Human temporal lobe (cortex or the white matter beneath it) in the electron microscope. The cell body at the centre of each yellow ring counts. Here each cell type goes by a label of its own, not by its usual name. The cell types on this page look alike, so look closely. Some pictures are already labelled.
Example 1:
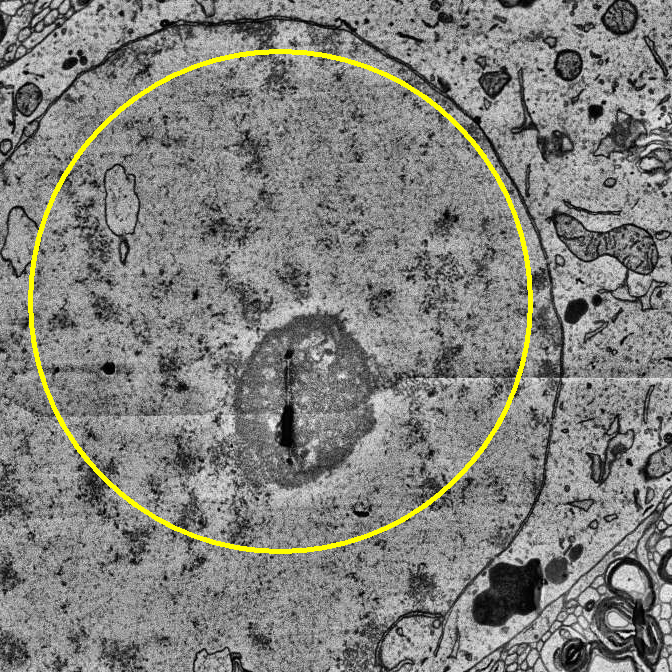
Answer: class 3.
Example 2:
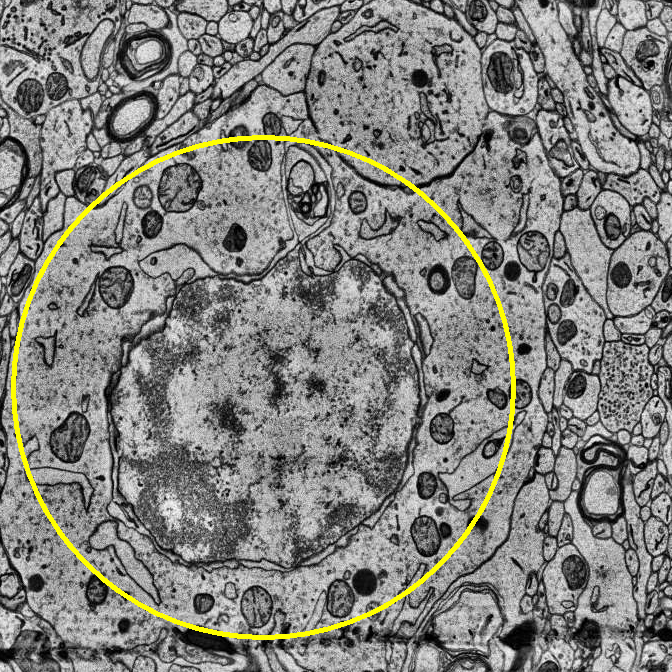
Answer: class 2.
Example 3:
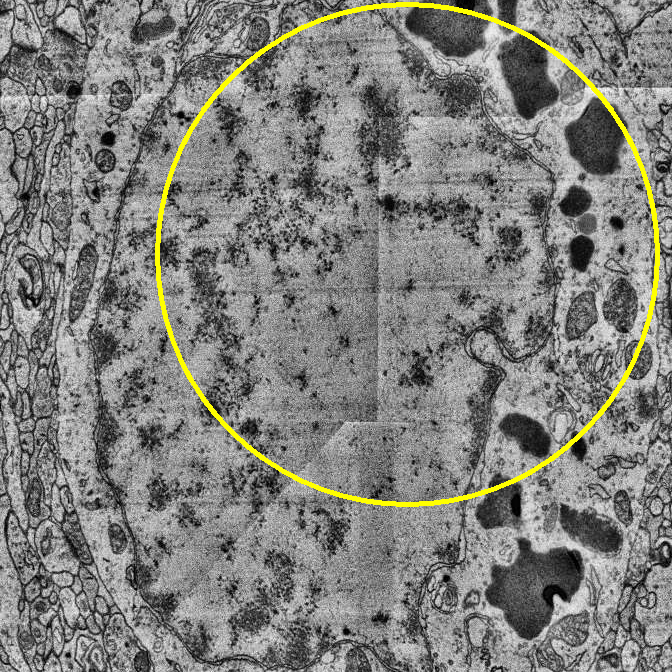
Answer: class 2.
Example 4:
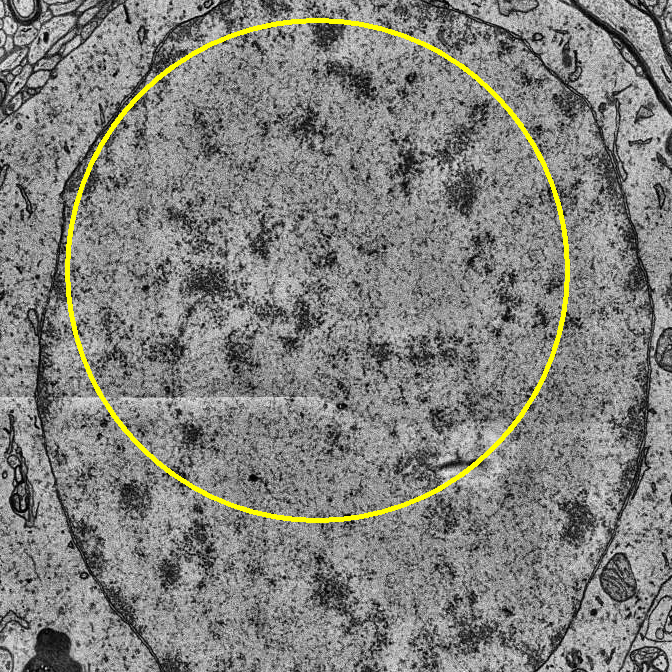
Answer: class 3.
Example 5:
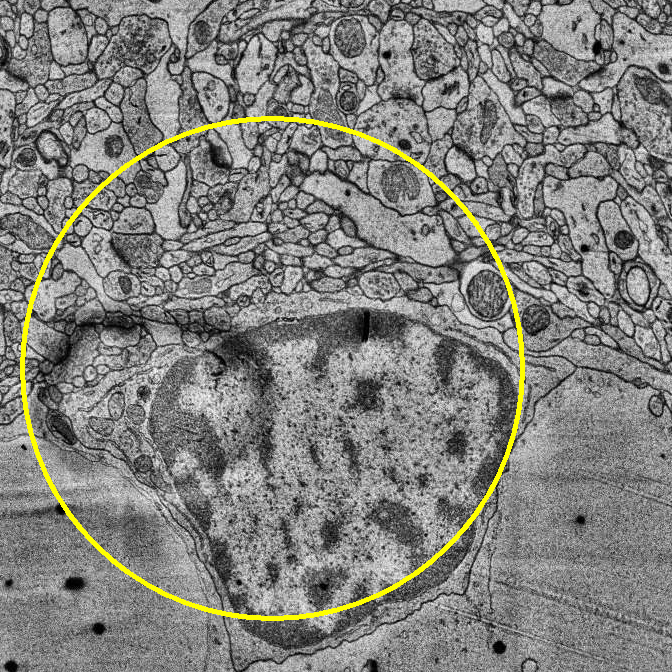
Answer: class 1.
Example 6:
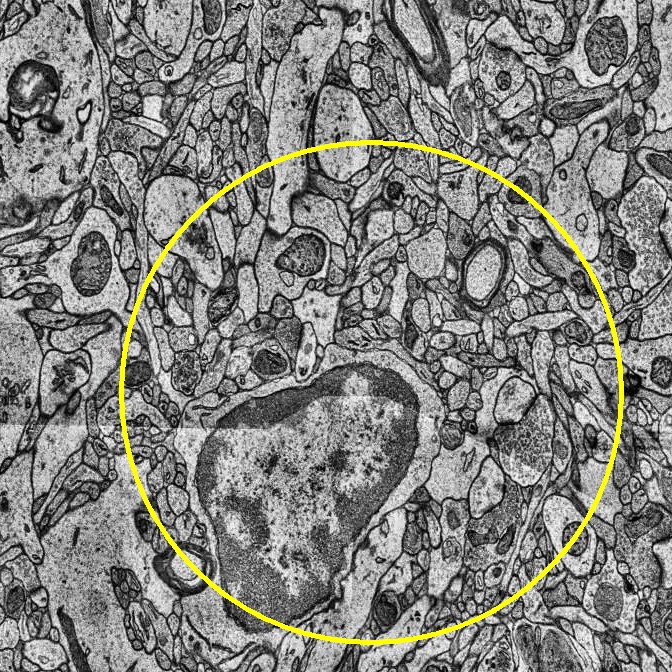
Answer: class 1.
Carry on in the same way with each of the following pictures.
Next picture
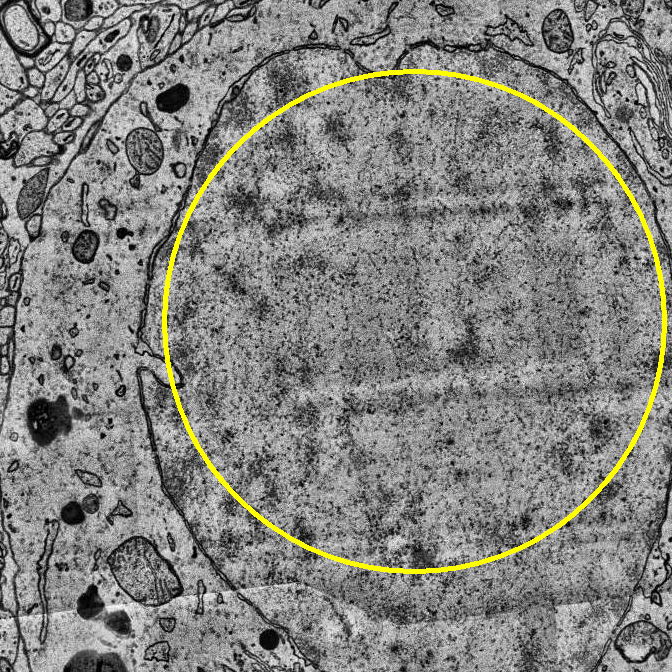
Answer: class 3.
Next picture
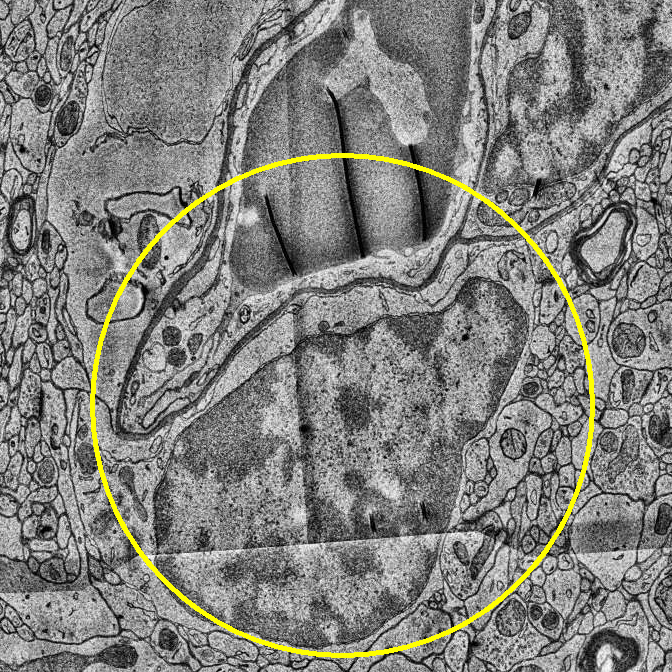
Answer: class 1.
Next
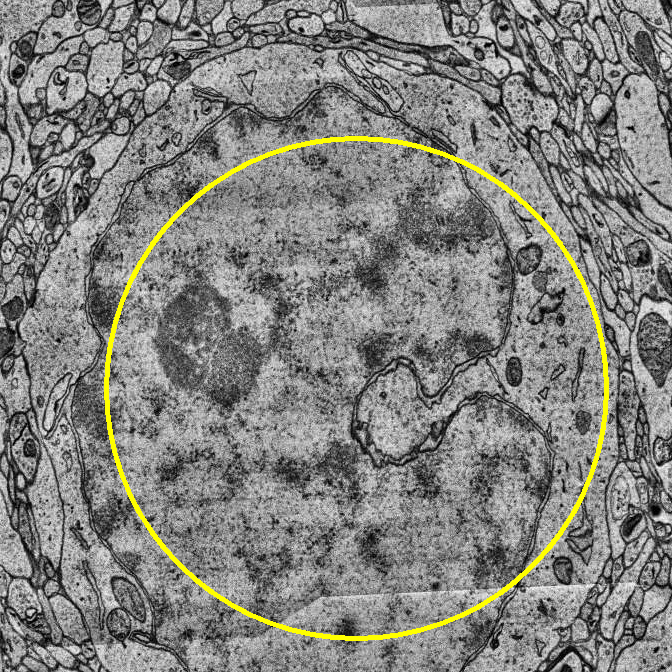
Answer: class 2.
